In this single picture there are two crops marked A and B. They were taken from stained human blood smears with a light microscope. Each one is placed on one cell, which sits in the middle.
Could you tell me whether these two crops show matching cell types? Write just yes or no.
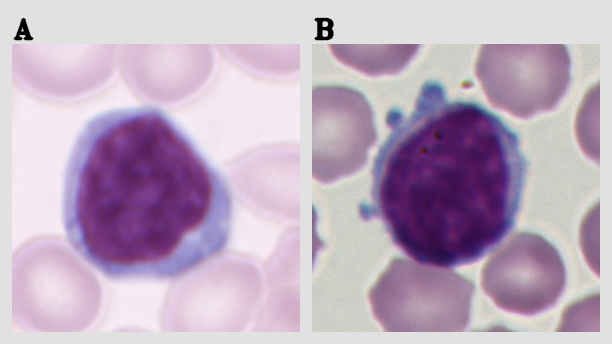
yes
